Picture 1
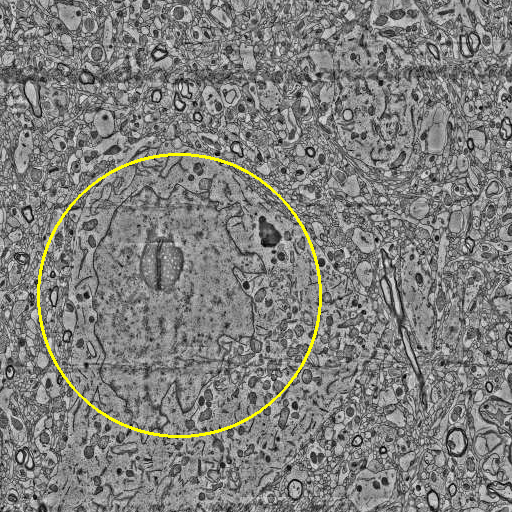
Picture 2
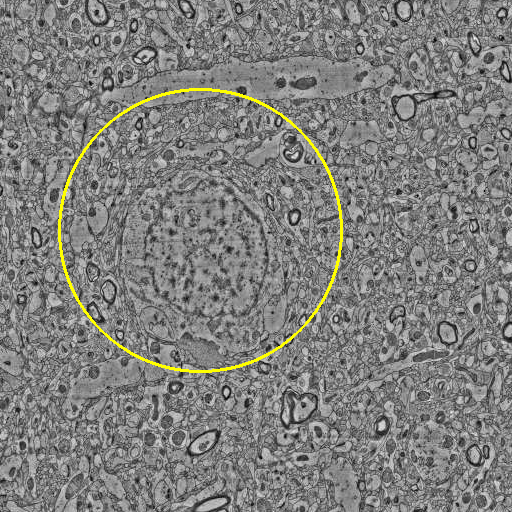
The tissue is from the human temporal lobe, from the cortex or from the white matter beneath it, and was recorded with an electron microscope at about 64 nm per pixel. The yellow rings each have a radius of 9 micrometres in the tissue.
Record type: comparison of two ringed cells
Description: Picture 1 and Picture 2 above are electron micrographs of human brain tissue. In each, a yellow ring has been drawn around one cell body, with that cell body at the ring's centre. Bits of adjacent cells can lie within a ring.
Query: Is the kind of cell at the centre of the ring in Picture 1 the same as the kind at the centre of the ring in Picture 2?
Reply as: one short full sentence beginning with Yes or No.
Yes, the two ringed cells are of the same kind.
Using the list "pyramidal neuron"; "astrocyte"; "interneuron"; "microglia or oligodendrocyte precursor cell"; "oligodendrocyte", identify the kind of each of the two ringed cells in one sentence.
Both the first and the second picture show an interneuron in the ring.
